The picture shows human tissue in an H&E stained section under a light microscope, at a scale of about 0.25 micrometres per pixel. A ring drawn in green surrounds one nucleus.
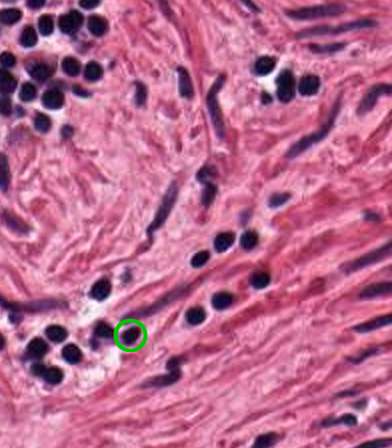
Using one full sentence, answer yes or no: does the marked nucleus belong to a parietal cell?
No, the marked nucleus, which belongs to a supporting cell, is not part of a parietal cell.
